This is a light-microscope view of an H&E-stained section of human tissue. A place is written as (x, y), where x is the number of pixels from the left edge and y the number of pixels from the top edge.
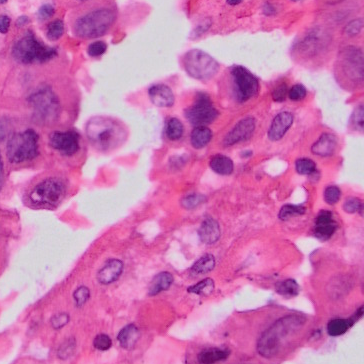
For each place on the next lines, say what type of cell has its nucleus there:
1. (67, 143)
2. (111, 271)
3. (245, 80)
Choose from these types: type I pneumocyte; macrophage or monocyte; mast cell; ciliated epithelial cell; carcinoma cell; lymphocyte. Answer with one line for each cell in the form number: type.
1: carcinoma cell
2: macrophage or monocyte
3: carcinoma cell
